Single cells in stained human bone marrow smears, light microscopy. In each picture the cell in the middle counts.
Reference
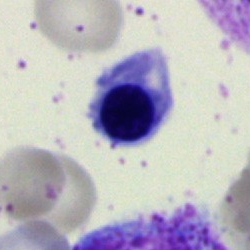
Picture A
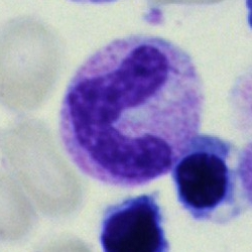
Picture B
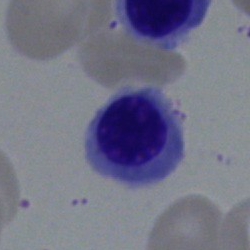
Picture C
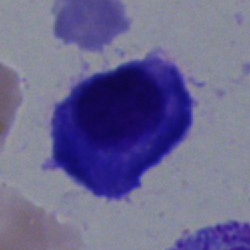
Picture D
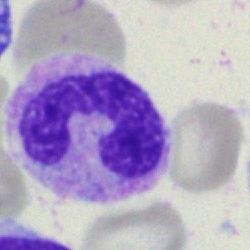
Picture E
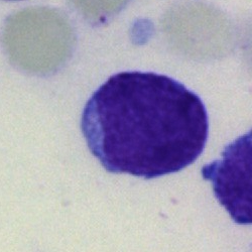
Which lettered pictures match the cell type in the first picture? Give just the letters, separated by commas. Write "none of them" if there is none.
B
